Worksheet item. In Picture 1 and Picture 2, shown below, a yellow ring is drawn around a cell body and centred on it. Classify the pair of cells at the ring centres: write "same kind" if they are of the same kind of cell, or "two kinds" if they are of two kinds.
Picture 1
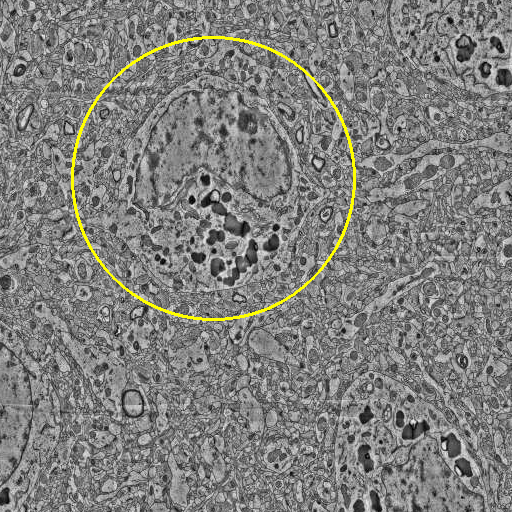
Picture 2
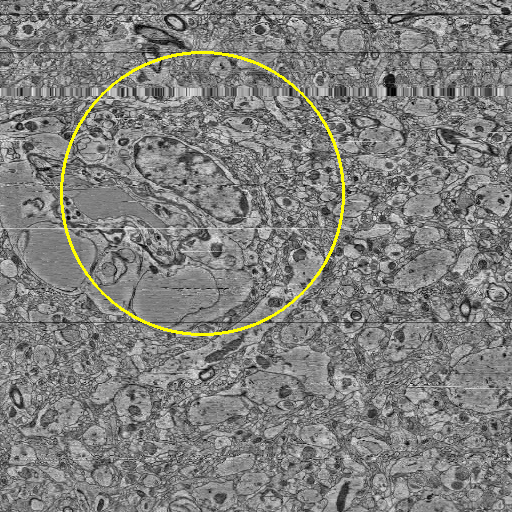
two kinds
